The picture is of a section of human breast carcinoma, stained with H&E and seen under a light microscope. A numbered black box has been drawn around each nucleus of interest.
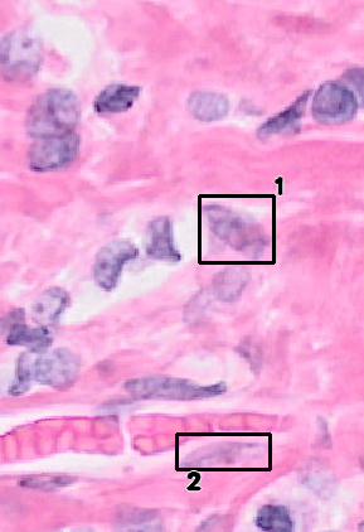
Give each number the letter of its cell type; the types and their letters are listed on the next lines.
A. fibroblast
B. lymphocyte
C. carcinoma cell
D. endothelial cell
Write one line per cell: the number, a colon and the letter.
1: A
2: D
